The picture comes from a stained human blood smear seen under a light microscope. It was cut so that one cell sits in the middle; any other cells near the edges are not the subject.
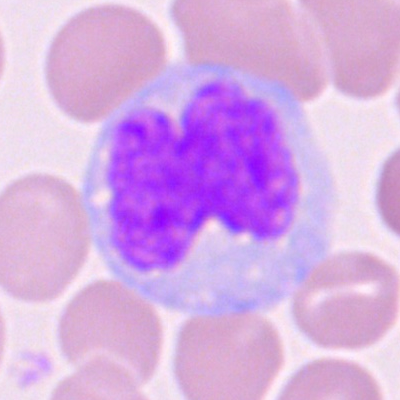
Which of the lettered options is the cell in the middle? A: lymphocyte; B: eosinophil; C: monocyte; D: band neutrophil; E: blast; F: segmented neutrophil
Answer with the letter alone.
C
